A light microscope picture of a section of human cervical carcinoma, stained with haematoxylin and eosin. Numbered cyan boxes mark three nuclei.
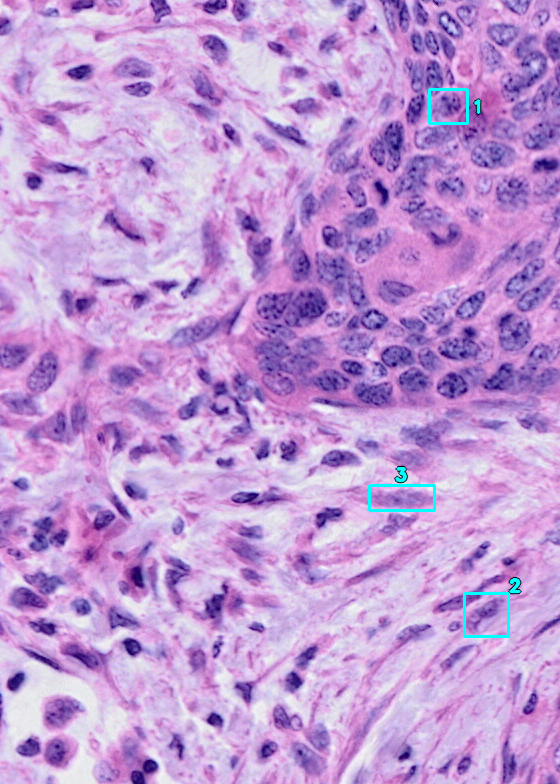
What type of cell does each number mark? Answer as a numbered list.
1. squamous carcinoma cell
2. fibroblast
3. fibroblast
